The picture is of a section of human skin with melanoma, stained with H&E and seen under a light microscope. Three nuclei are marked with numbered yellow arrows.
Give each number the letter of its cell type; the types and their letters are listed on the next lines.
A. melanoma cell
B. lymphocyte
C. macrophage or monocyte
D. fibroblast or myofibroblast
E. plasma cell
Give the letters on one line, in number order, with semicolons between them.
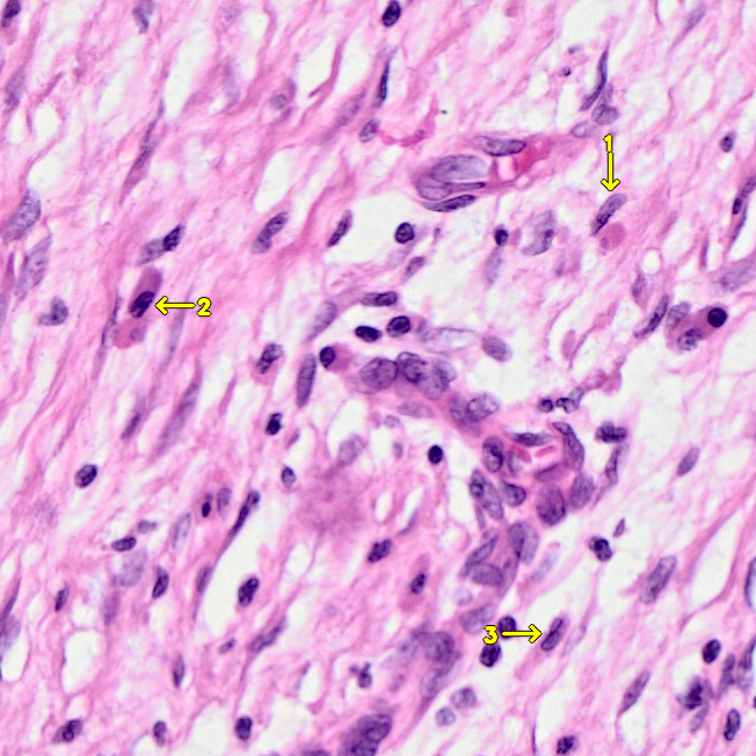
C; E; C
